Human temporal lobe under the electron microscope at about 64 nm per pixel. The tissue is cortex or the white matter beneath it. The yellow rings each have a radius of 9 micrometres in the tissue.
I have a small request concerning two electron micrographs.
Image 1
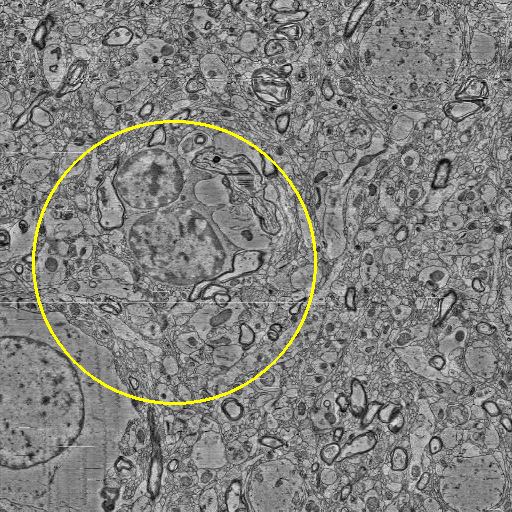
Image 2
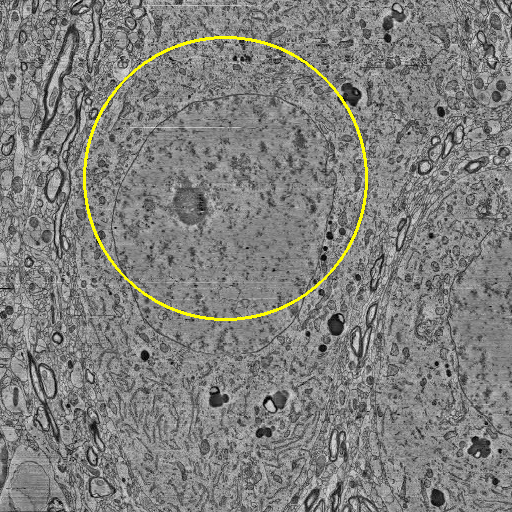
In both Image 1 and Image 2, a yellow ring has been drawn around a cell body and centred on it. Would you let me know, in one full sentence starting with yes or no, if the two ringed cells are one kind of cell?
No, the cells ringed in Image 1 and Image 2 are two kinds of cell.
